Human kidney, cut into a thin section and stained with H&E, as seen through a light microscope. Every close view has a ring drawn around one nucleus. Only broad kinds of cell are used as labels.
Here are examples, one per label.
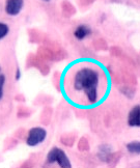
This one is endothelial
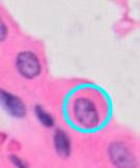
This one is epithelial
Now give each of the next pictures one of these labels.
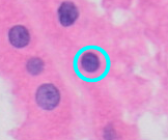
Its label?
epithelial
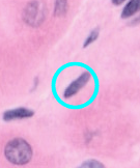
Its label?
endothelial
